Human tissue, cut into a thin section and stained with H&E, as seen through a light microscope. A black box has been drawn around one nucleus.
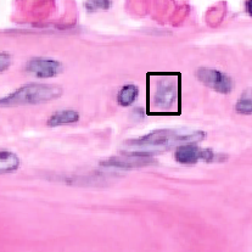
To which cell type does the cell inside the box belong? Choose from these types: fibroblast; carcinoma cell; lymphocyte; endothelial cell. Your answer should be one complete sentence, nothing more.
With respect to cell type, the cell inside the box is an endothelial cell.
